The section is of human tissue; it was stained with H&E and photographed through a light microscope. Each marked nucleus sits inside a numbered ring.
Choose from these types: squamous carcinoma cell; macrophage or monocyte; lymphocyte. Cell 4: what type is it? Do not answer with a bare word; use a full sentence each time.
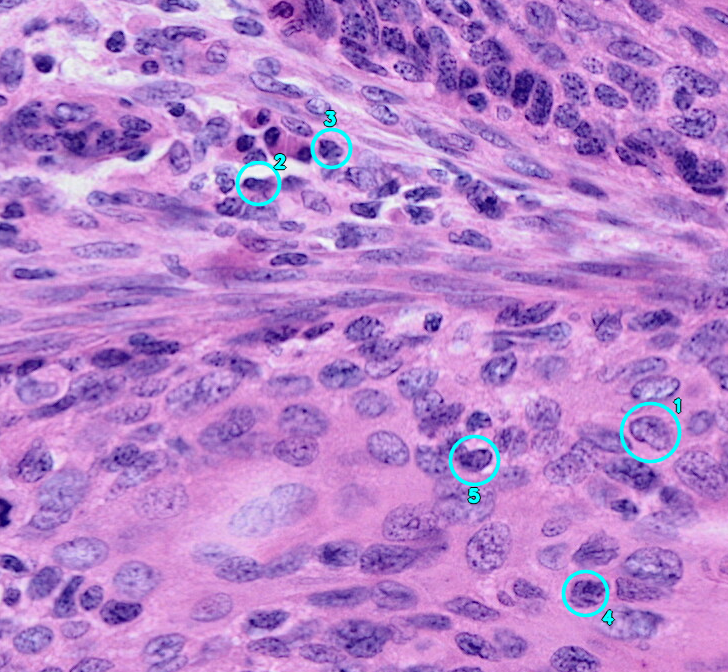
Regarding cell 4, this one is a squamous carcinoma cell.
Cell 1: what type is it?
In the tissue shown, cell 1 is a squamous carcinoma cell.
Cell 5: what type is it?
The marked nucleus 5 is that of a squamous carcinoma cell.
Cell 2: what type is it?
Cell 2 in the field is a lymphocyte.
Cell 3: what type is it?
Nucleus 3 in this section belongs to a lymphocyte.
